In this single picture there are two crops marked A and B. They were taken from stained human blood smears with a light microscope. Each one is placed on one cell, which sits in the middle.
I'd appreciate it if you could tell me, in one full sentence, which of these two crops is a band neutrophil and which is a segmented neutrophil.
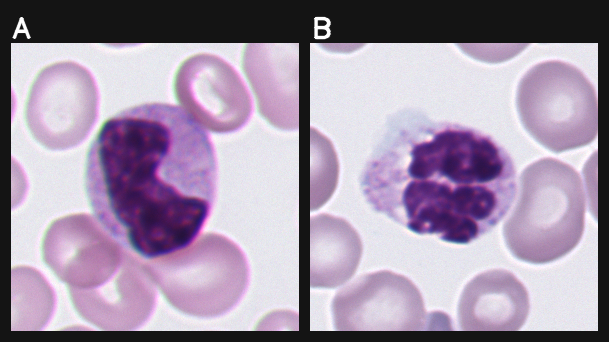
Crop A holds a band neutrophil; crop B holds a segmented neutrophil.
